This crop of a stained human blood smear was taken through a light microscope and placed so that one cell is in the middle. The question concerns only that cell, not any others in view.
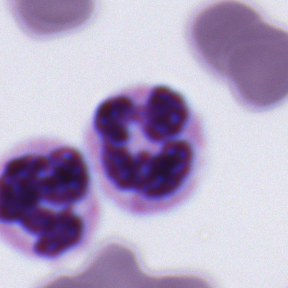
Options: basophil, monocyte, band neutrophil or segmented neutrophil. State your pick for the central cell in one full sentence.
The centered cell in this crop is a segmented neutrophil.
